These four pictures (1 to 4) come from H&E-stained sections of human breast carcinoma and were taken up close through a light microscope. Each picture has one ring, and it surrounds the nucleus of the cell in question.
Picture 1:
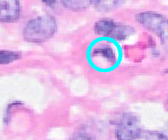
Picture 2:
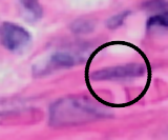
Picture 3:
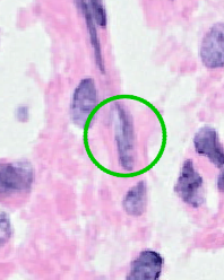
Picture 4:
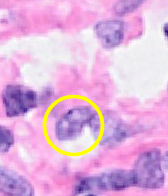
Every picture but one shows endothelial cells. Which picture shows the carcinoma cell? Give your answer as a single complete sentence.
Picture 4 shows the carcinoma cell.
